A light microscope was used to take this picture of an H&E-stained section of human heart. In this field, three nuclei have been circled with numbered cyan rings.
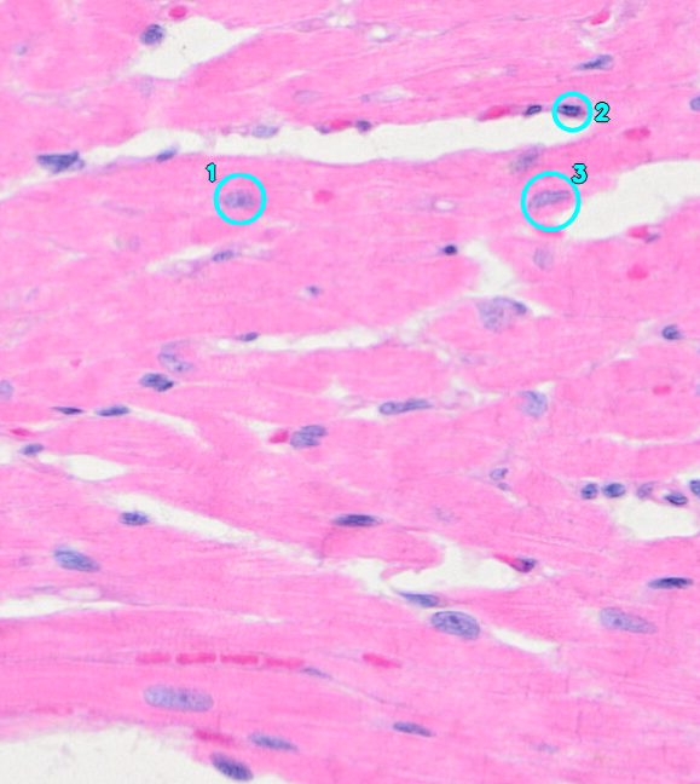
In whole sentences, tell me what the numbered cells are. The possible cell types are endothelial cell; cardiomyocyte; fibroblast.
Cell 1 is a cardiomyocyte, cell 2 is an endothelial cell and cell 3 is a cardiomyocyte.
